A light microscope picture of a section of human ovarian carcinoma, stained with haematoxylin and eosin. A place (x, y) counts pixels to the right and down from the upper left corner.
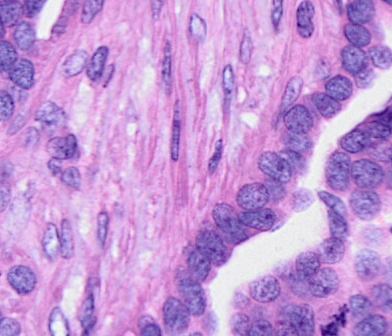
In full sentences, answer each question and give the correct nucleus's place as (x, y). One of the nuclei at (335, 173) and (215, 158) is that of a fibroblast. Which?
Of the pair, the nucleus located at (215, 158) belongs to a fibroblast.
